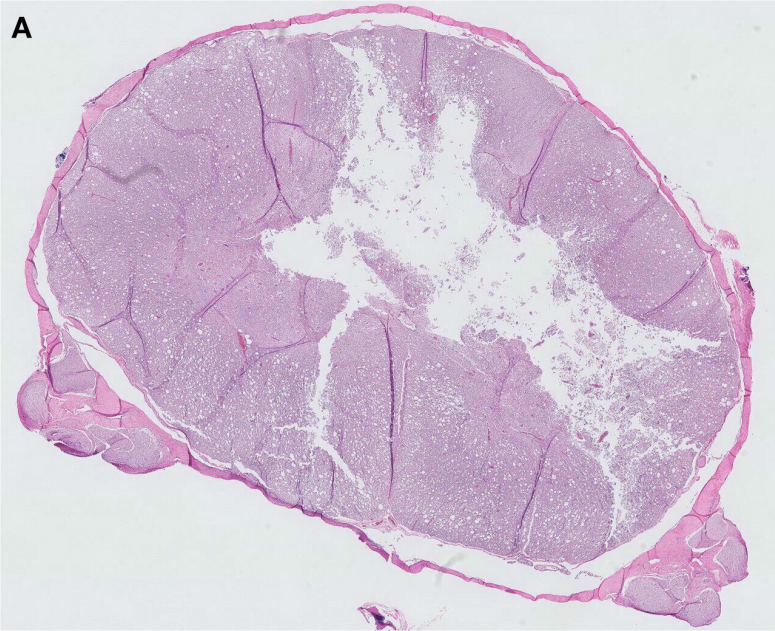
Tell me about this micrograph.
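This is a whole cross-section of the spinal cord showing liquefaction necrosis of the gray matter. The center of the cord, where the gray column should be, is almost entirely gone, leaving a large irregular empty space with ragged borders and loose fragments of debris. Thin pink meninges surround the cord, and nerve roots are cut in cross-section beside it at the lower left and lower right.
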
